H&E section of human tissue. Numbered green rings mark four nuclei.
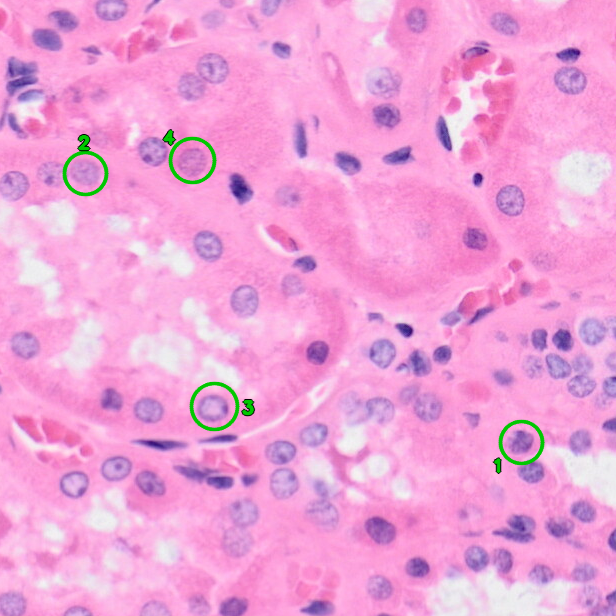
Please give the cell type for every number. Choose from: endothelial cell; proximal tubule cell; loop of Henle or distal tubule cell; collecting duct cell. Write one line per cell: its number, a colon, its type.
1: loop of Henle or distal tubule cell
2: proximal tubule cell
3: proximal tubule cell
4: proximal tubule cell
